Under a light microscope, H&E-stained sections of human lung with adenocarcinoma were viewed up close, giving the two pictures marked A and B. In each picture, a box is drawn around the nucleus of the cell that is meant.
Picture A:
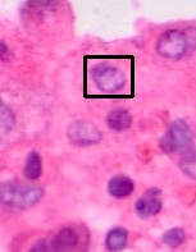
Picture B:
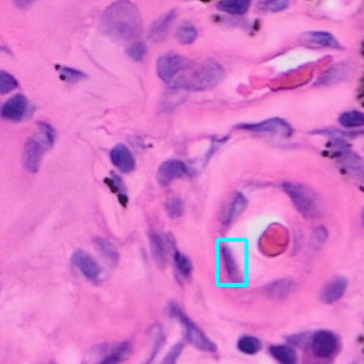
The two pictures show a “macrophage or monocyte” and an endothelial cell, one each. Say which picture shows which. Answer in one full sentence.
It is picture A that shows a “macrophage or monocyte”, and picture B that shows an endothelial cell.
